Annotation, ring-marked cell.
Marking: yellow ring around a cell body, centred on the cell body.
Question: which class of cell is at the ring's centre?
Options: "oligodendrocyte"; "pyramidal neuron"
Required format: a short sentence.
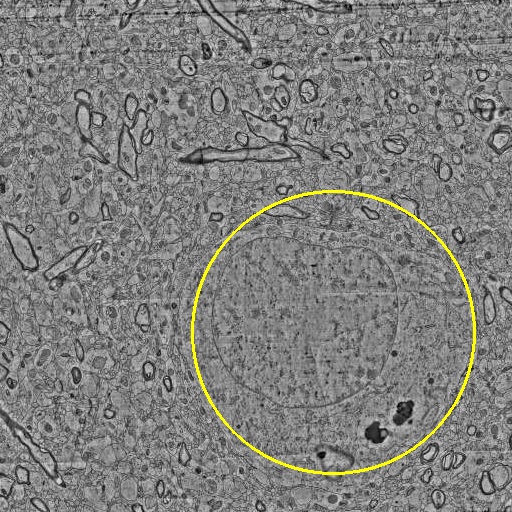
At the ring's centre is a pyramidal neuron.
